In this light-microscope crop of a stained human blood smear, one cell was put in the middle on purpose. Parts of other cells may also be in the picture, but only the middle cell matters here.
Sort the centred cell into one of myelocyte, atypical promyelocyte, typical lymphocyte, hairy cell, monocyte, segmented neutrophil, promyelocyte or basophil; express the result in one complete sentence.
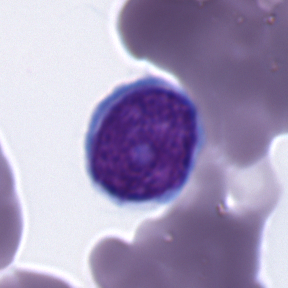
In this crop, the cell at the very middle is a typical lymphocyte.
